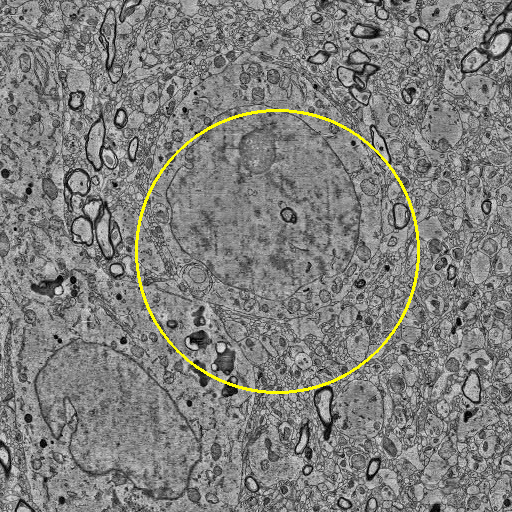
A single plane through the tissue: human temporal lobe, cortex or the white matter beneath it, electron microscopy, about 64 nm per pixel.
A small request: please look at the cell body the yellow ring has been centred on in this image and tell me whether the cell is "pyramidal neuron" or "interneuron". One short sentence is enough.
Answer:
The cell marked by the ring is a pyramidal neuron.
